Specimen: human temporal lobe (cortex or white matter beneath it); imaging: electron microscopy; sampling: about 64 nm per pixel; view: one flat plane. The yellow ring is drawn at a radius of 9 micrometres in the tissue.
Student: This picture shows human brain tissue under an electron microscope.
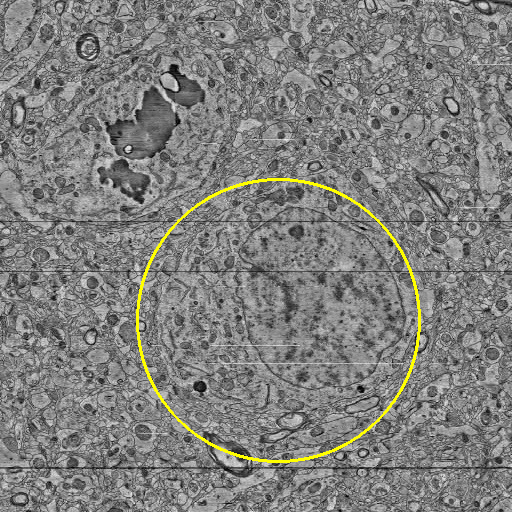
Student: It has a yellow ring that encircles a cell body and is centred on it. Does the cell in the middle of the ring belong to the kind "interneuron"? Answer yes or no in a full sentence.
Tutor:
Yes, the cell in the middle of the ring in this picture is of that kind.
